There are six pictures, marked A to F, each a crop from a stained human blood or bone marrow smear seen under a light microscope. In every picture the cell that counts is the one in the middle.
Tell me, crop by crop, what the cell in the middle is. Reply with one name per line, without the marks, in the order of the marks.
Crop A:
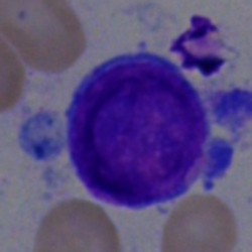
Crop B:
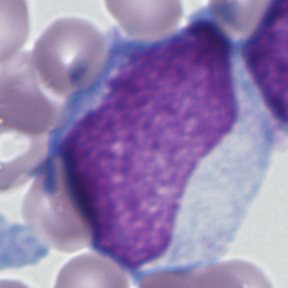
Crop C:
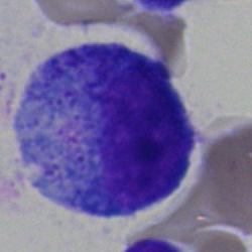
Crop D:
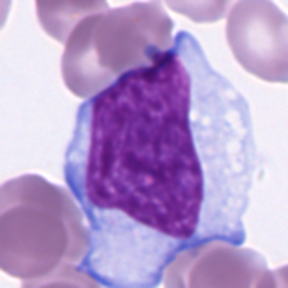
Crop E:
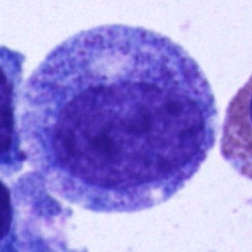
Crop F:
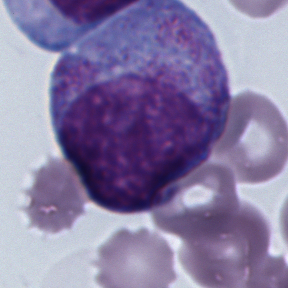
blast
promyelocyte
promyelocyte
blast
promyelocyte
promyelocyte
